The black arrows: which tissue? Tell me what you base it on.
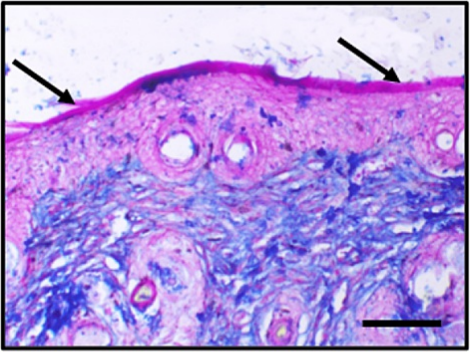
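The arrows point to the thin outermost layer of the section, topped by a magenta surface line. Beneath this layer lies looser blue-stained fibrous tissue with round follicle profiles. The answer: epidermis.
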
